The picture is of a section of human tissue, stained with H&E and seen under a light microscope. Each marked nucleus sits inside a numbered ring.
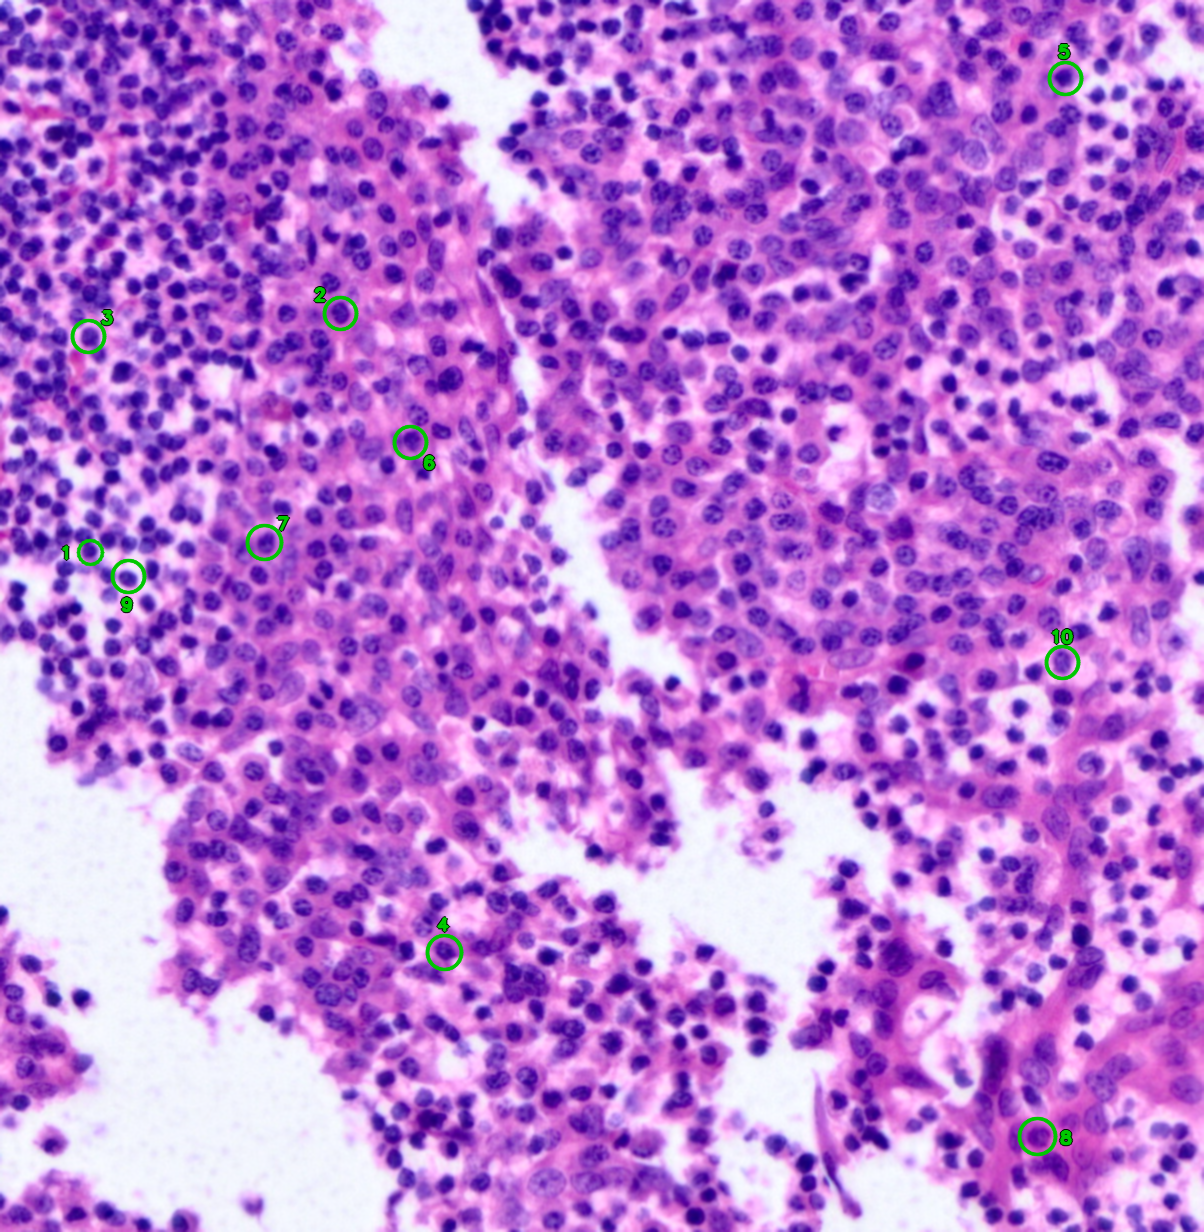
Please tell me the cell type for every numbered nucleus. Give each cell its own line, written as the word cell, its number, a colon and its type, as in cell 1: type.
cell 1: small lymphocyte
cell 2: plasma cell
cell 3: small lymphocyte
cell 4: plasma cell
cell 5: plasma cell
cell 6: plasma cell
cell 7: plasma cell
cell 8: squamous epithelial cell
cell 9: small lymphocyte
cell 10: plasma cell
